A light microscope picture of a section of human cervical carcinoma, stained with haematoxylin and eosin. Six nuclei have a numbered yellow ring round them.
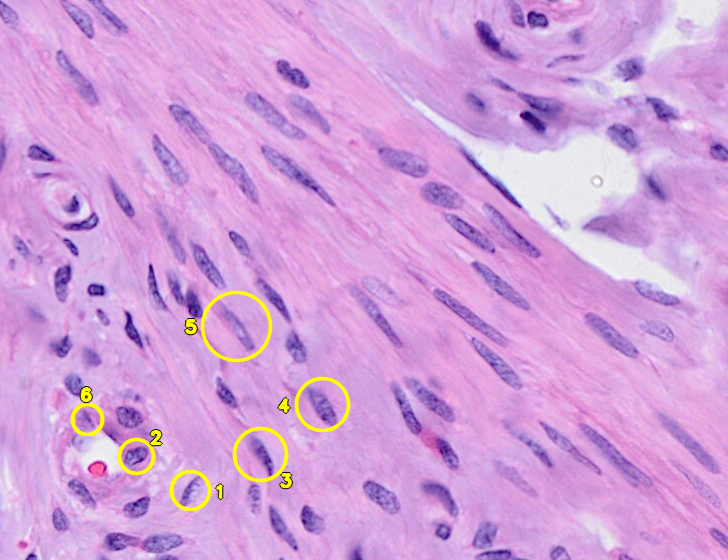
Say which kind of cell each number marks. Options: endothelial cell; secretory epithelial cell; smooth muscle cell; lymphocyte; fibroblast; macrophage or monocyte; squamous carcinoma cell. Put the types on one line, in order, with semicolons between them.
fibroblast; endothelial cell; fibroblast; fibroblast; fibroblast; endothelial cell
